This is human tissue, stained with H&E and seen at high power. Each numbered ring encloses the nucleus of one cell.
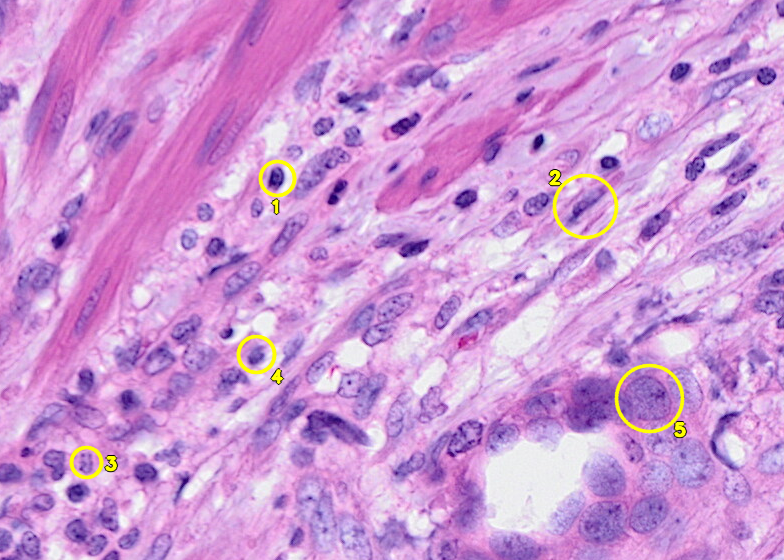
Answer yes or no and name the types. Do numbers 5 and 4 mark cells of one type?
No, cell 5 is interpreted as a carcinoma cell, and cell 4 is interpreted as a lymphocyte.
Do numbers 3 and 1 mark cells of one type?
No, while cell 3 is a macrophage or monocyte, cell 1 is a lymphocyte.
